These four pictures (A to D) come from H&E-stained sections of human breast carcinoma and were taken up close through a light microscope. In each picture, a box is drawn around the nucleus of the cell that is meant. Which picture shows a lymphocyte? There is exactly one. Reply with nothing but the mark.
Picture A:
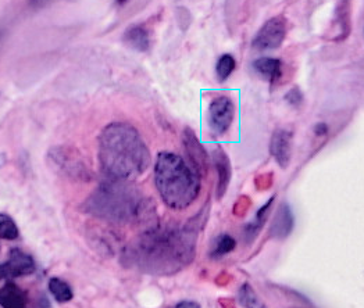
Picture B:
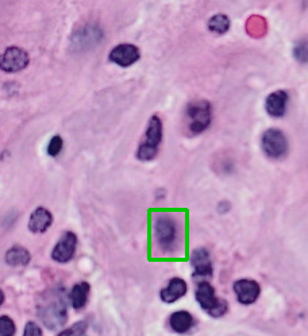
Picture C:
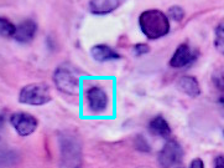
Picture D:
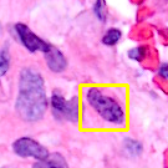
C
